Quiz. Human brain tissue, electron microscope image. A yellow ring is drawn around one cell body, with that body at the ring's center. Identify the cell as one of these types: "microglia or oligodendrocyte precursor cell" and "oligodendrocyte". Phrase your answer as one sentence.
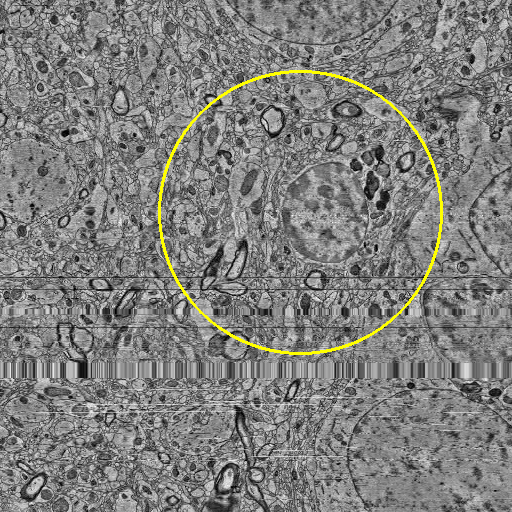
At the center of the ring sits a microglial cell or oligodendrocyte precursor cell.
